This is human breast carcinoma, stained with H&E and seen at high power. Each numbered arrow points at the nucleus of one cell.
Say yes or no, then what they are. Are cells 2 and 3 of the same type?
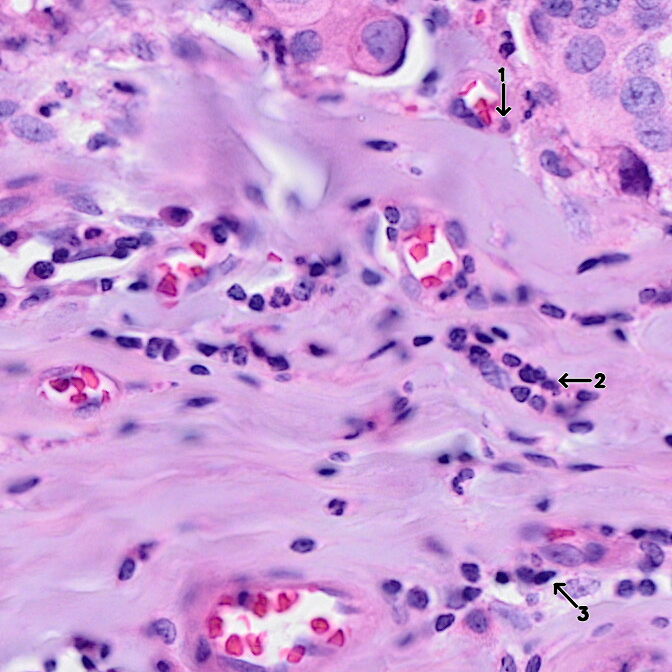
Yes, both are lymphocytes.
